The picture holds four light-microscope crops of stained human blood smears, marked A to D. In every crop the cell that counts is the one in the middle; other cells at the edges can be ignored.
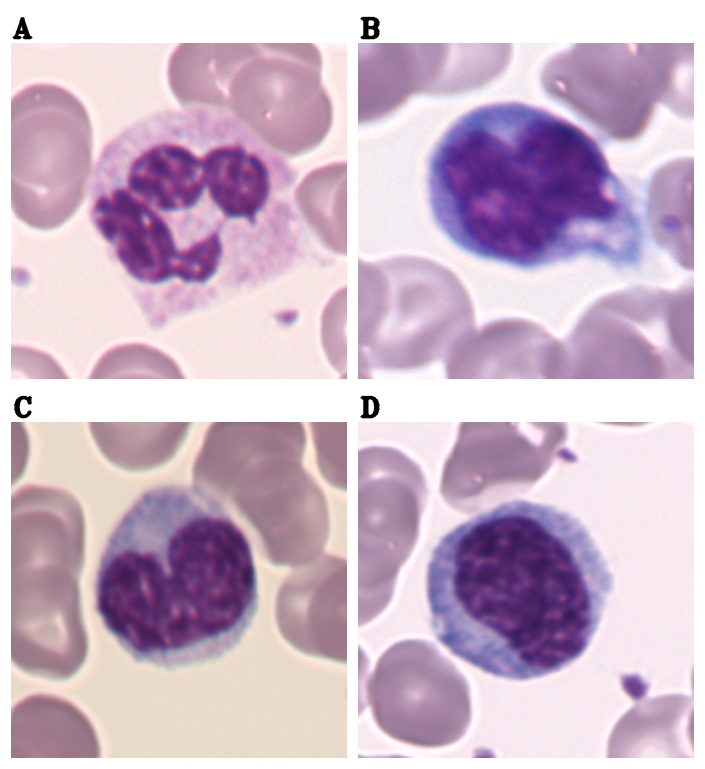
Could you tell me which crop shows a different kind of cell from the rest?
A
